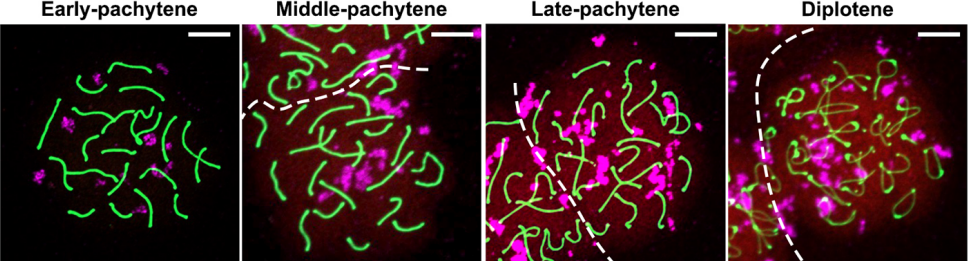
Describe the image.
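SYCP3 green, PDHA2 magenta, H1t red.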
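Four spread nuclei of prophase I spermatocytes are shown side by side, each with green thread-like chromosome axes. In the first nucleus the green threads are separate and fully extended on a dark background with a few small magenta patches. In the following nuclei the background becomes diffusely red, and magenta patches become larger and more numerous among the threads. In the last nucleus the green threads appear looped and partly separated along their length. White dashed lines in several images mark the boundary between the spread nucleus and an adjacent nucleus.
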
